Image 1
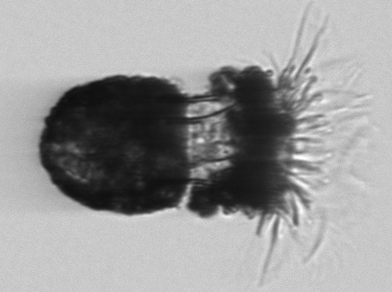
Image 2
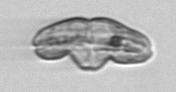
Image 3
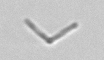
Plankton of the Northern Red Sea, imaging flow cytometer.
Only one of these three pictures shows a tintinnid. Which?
Picture 1.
